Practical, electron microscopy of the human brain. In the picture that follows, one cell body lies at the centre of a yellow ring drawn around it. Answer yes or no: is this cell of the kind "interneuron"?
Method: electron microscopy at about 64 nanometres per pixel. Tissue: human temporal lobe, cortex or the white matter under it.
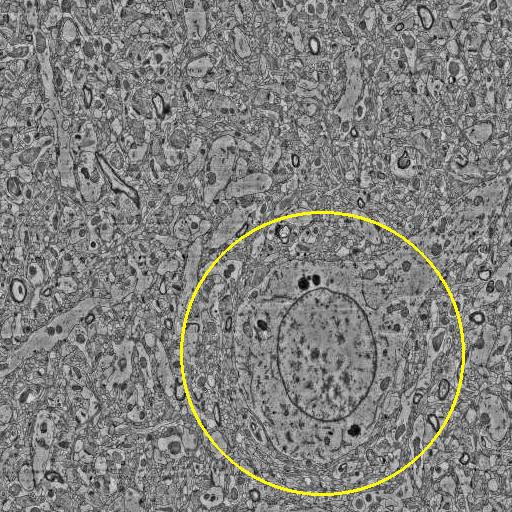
no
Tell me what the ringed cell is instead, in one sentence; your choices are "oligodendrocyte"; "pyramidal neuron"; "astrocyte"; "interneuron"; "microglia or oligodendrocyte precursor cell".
Instead, the cell inside the ring is a pyramidal neuron.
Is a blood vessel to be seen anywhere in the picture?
No, no vessel shows anywhere in the image.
